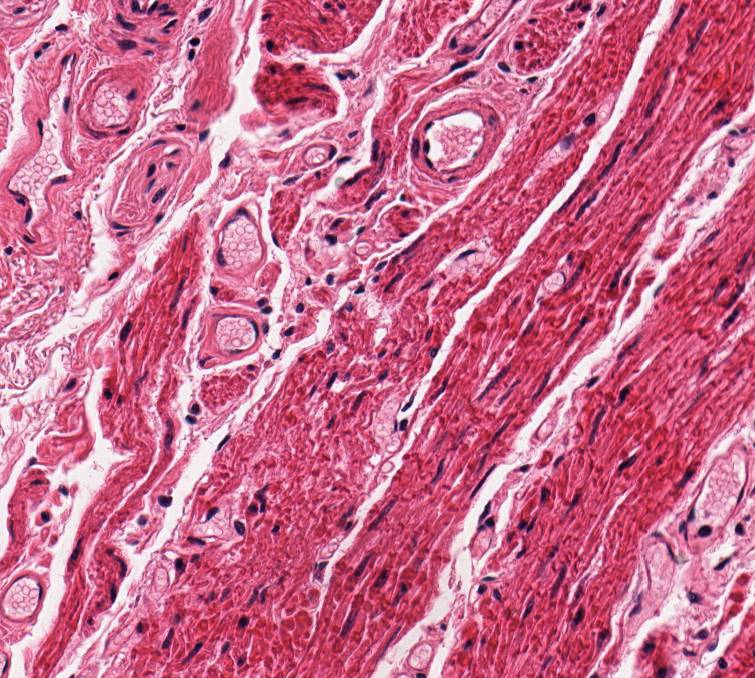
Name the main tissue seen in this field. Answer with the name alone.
smooth muscle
